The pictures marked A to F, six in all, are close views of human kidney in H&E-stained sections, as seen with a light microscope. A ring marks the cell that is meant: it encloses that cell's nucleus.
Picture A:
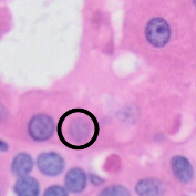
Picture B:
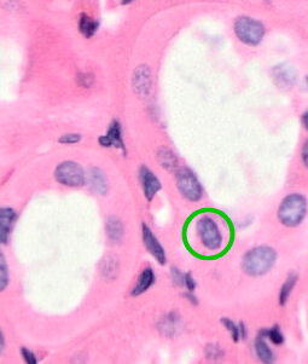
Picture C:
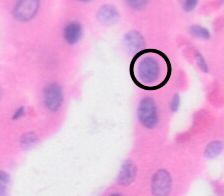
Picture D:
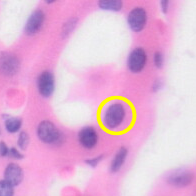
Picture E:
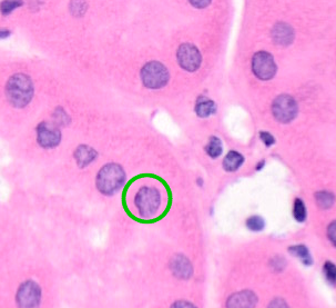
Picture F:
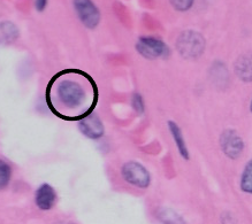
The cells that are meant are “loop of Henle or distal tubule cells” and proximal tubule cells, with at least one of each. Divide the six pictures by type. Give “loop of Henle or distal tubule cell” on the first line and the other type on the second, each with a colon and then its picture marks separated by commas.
loop of Henle or distal tubule cell: B, C, D, F
proximal tubule cell: A, E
